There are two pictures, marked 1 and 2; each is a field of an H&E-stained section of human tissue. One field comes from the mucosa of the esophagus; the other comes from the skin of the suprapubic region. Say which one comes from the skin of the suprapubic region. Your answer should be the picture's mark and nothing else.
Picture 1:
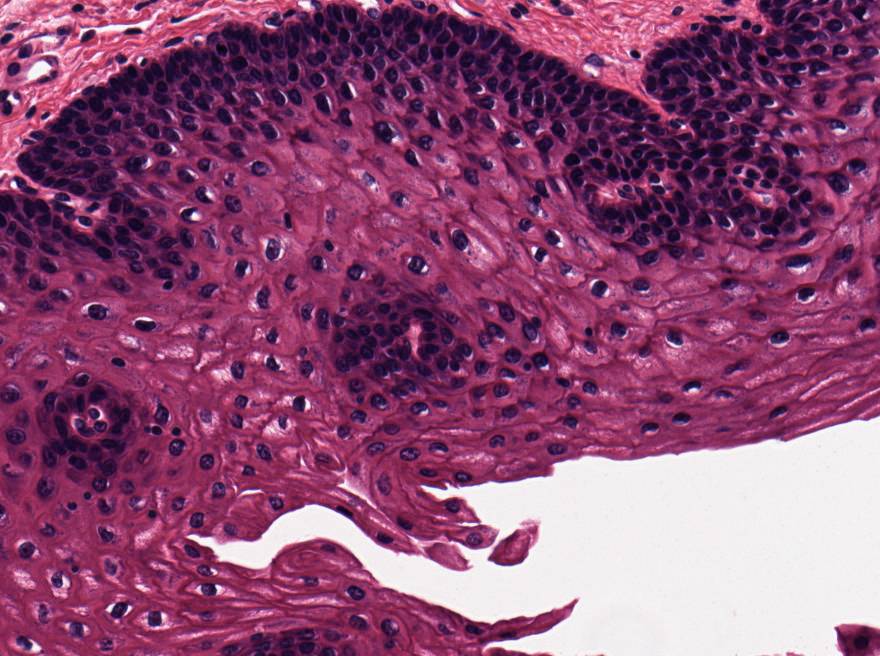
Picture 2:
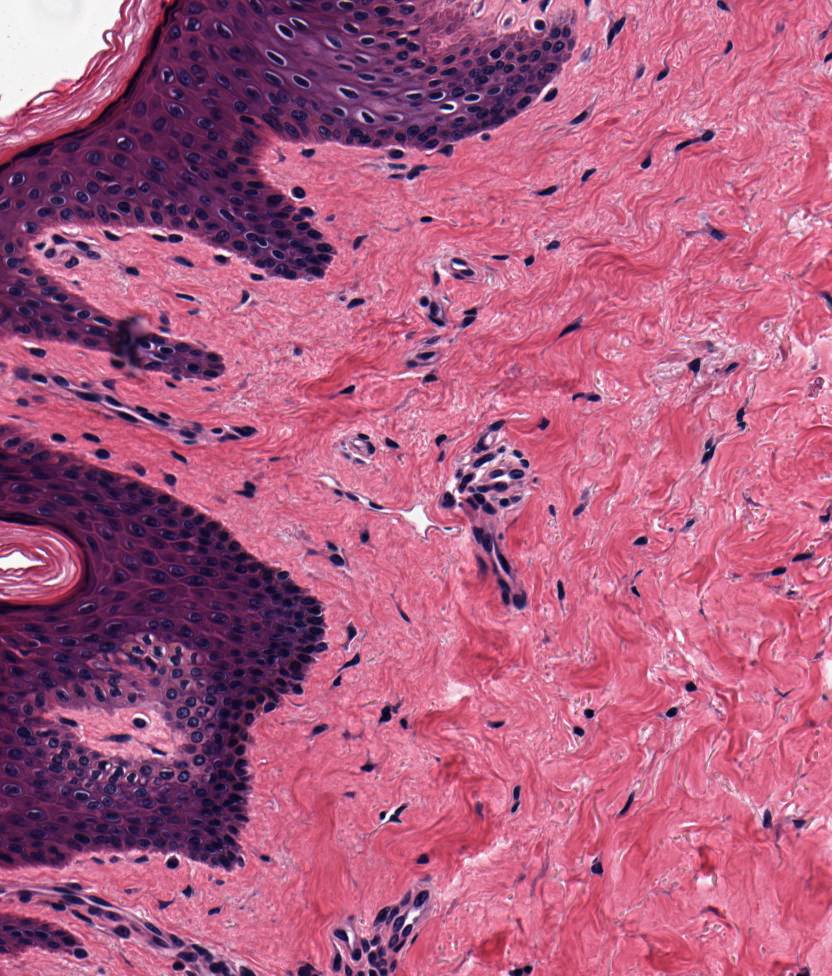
2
